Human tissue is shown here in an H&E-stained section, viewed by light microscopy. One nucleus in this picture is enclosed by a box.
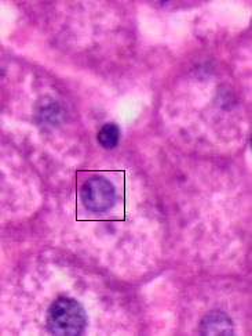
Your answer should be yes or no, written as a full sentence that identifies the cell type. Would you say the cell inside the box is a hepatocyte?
Yes, a hepatocyte is what the cell inside the box is in this section.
